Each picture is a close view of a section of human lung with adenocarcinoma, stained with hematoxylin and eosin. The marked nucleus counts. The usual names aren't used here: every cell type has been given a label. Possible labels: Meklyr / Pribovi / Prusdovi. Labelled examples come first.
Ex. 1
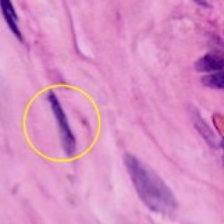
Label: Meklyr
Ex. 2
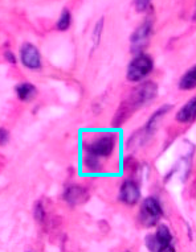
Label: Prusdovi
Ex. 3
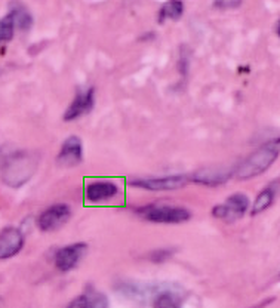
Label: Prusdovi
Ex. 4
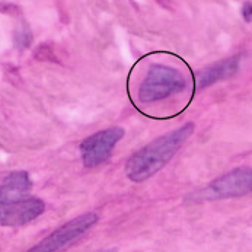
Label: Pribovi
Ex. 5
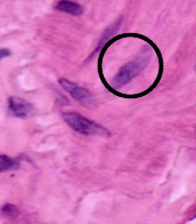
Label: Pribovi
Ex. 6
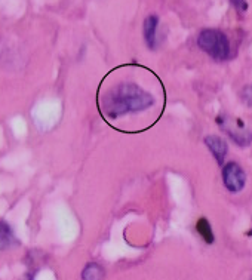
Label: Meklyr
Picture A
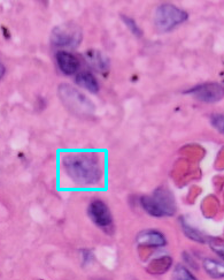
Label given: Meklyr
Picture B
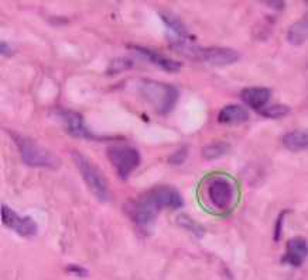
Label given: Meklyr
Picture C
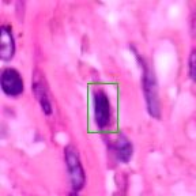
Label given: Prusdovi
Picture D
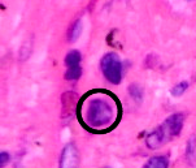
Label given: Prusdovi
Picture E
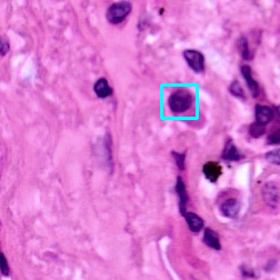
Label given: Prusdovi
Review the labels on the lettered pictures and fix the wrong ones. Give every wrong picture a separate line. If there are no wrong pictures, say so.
B is labelled Meklyr; correct label: Prusdovi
